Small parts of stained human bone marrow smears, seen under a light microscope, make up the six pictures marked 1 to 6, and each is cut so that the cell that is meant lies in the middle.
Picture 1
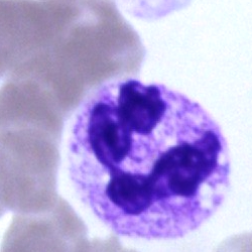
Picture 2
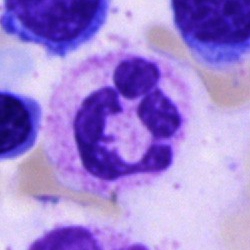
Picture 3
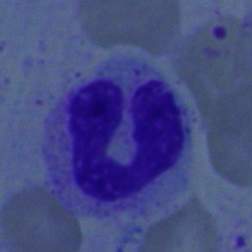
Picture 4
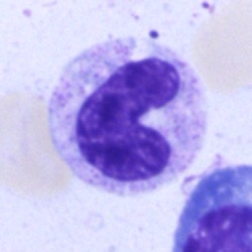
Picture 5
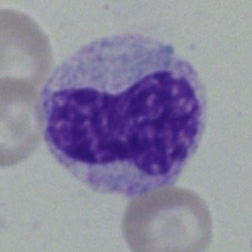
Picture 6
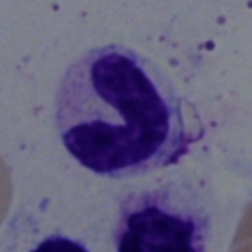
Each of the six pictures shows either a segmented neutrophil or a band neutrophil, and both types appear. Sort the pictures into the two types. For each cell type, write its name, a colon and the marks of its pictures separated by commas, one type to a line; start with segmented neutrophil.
segmented neutrophil: 1, 2
band neutrophil: 3, 4, 5, 6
